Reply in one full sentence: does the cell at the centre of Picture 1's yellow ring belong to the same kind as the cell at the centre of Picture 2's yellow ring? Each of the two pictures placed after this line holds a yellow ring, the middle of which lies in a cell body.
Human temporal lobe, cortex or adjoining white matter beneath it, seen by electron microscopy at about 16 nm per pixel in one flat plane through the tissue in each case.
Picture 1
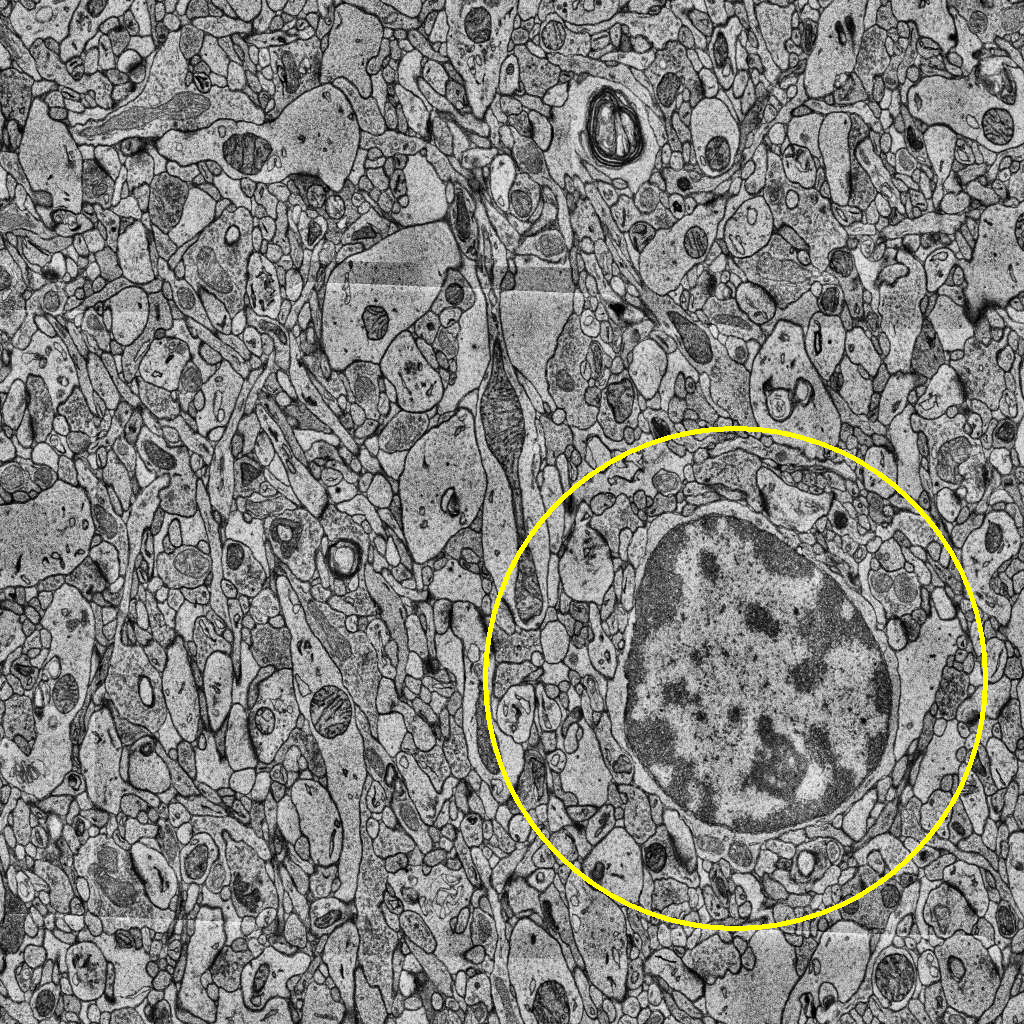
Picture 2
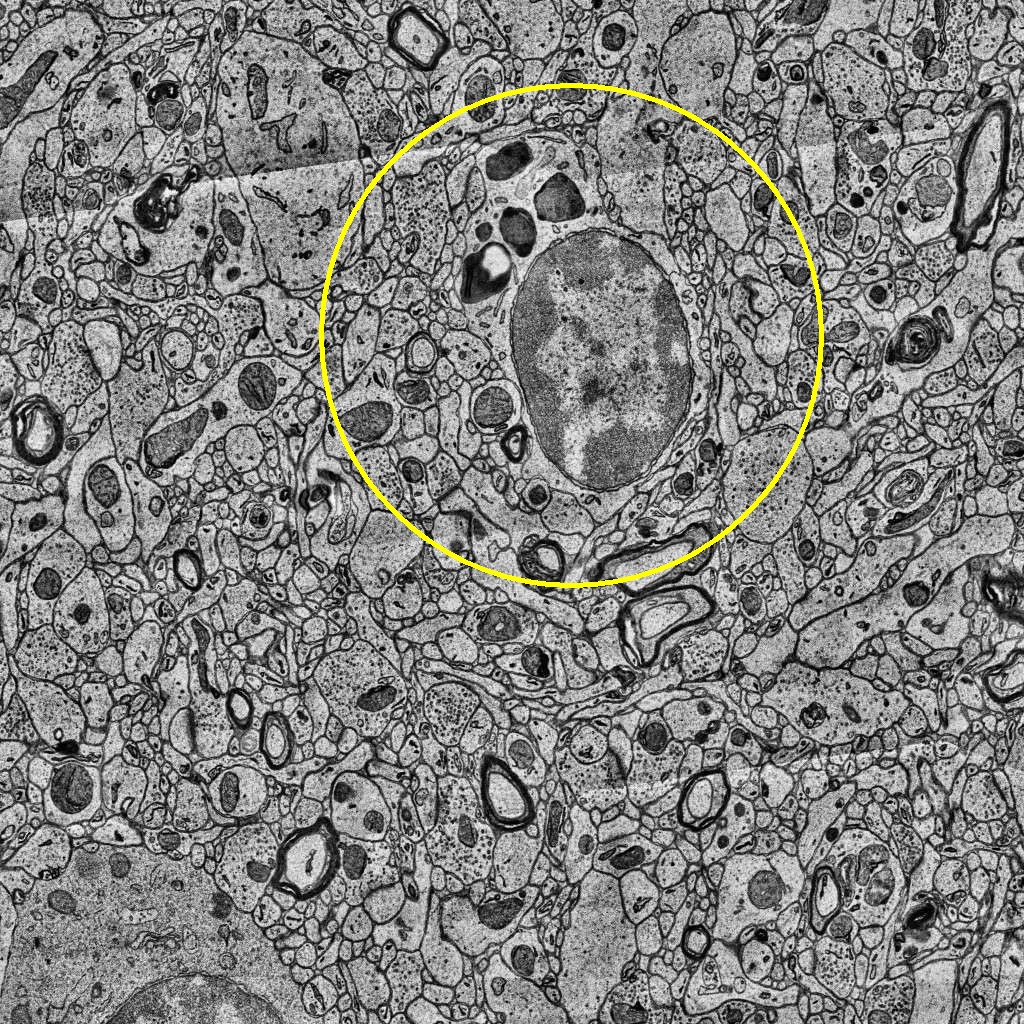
Yes, the cells at the ring centres in Picture 1 and Picture 2 are of one and the same kind.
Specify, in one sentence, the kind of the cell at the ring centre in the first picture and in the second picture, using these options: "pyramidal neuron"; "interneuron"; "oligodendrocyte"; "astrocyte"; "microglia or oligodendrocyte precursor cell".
Each of the two pictures has a microglial cell or oligodendrocyte precursor cell at the ring centre.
